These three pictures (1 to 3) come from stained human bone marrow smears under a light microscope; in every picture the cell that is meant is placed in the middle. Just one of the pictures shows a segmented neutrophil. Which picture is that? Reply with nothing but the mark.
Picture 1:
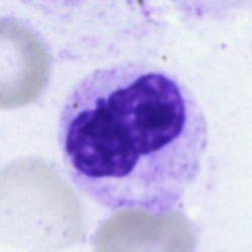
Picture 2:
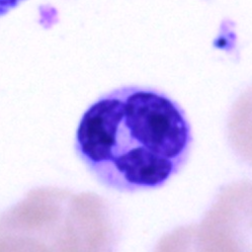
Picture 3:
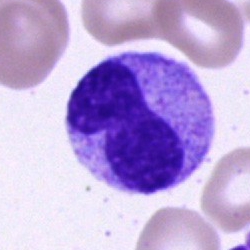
2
